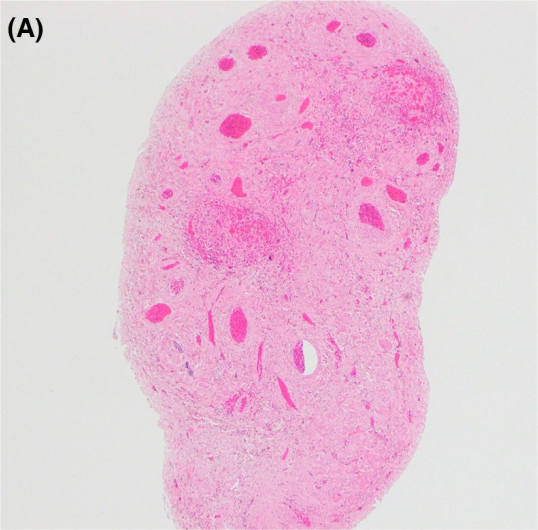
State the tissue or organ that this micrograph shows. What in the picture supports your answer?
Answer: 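Pale pink fibrillar stroma fills most of the section.
Conclusion: fibrous connective tissues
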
